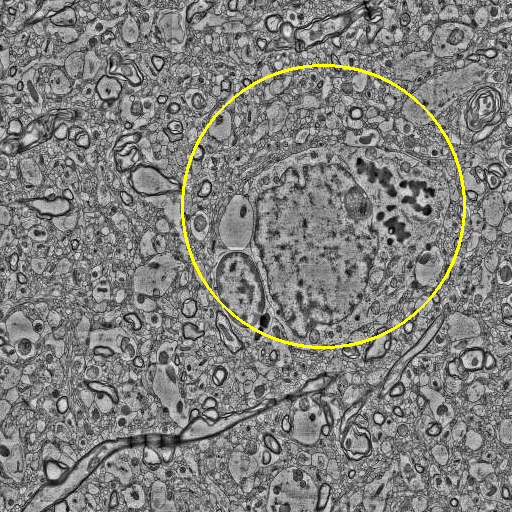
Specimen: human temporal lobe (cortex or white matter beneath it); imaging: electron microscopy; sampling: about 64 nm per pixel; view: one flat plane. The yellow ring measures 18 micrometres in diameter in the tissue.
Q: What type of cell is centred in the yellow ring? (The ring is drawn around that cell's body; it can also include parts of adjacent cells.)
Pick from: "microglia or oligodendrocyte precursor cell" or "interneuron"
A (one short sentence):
The yellow ring is centred on an interneuron.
